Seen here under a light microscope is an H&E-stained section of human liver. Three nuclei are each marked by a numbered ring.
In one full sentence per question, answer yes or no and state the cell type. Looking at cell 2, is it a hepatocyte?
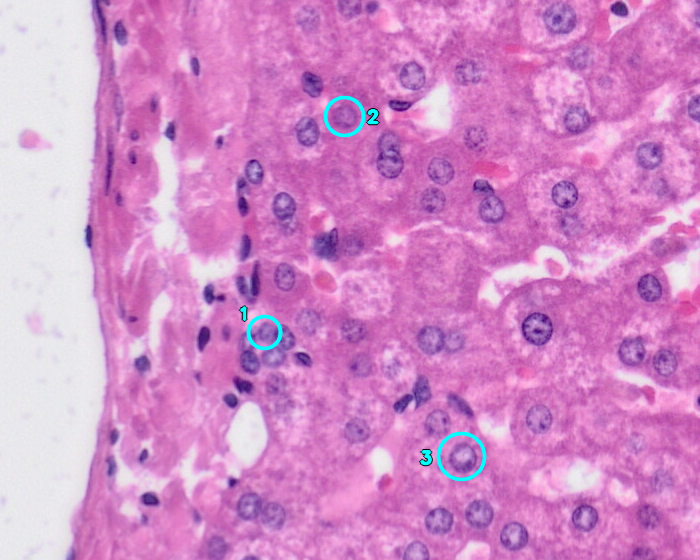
Yes, to put it simply, cell number 2 is a hepatocyte.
